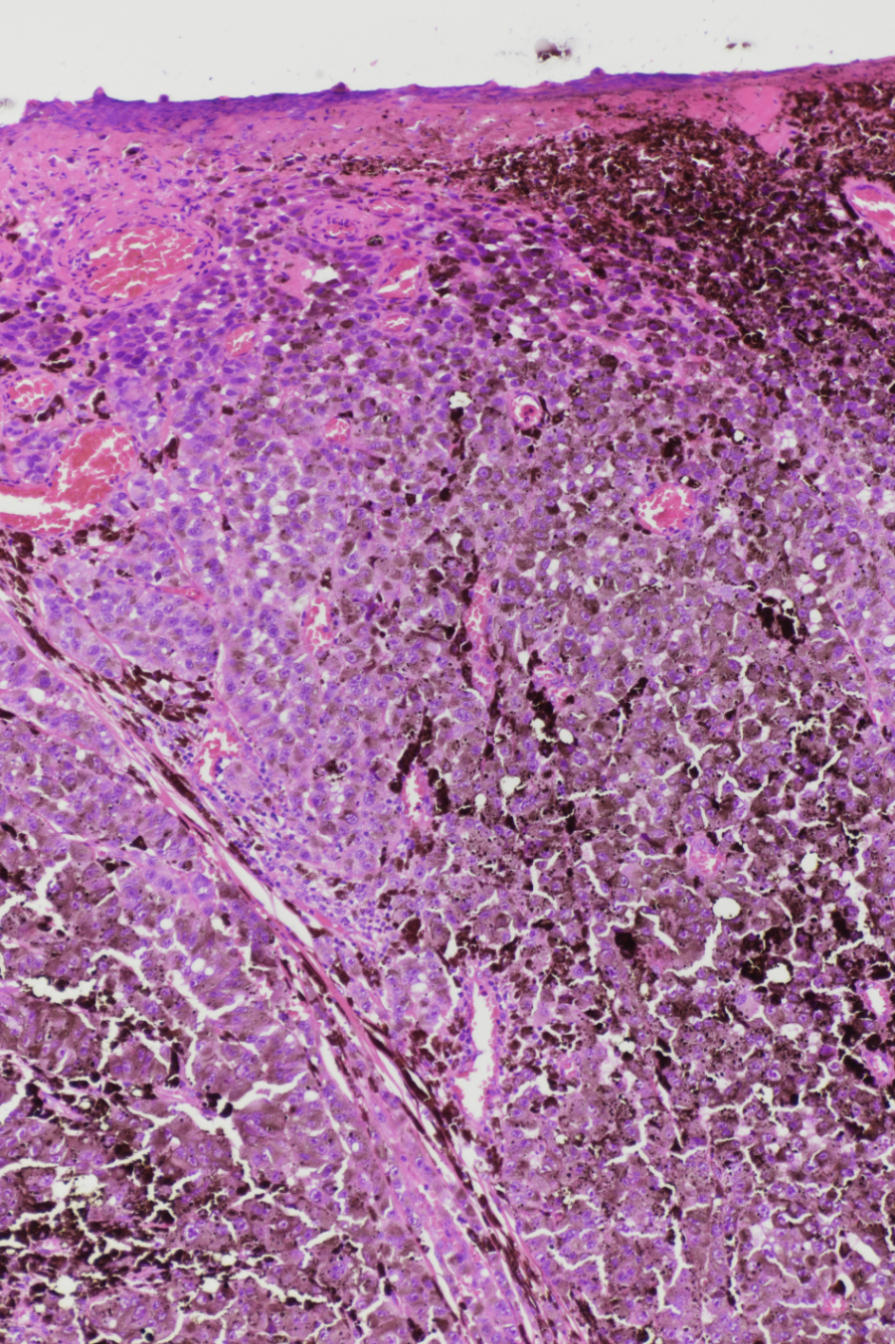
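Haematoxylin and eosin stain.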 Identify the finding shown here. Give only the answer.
melanoma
